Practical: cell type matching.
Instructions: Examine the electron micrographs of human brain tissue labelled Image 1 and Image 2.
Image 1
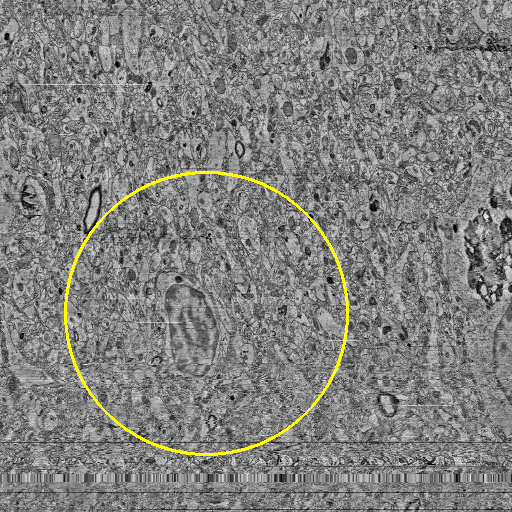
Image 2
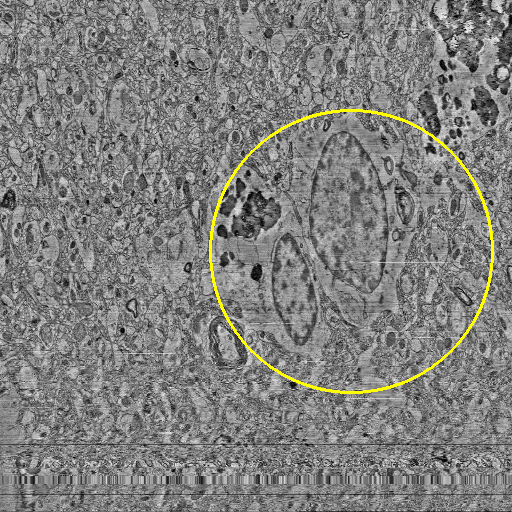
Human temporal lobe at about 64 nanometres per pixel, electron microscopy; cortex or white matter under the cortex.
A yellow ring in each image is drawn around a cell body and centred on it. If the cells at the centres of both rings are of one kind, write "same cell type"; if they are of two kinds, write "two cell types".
two cell types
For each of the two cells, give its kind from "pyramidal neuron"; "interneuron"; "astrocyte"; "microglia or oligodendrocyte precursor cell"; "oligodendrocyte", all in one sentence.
The first picture has a microglial cell or oligodendrocyte precursor cell in its ring, the second has an astrocyte.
